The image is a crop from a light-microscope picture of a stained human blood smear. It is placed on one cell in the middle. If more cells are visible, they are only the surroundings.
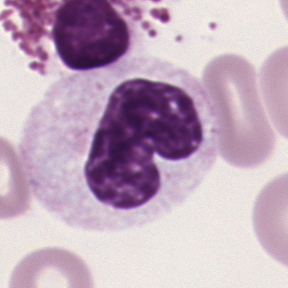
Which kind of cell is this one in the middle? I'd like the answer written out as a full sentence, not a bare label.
What the crop centres on is a band neutrophil.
